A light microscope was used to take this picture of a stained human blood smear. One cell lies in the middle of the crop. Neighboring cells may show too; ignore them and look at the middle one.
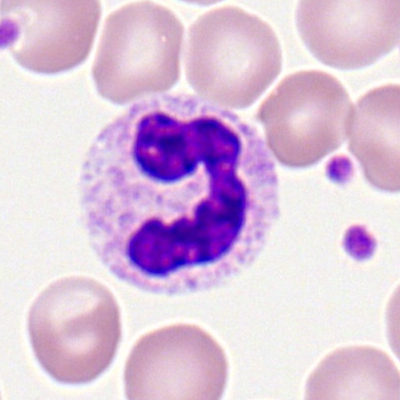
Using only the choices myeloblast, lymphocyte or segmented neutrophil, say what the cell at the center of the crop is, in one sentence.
Regarding the central cell, it is a segmented neutrophil.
